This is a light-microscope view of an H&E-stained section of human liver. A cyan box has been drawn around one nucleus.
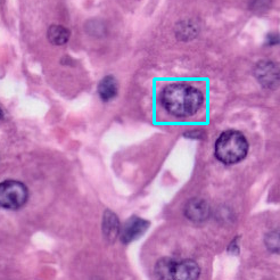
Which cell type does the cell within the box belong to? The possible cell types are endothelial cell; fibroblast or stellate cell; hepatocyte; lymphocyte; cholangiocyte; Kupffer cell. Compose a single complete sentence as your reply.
To be brief about it, the cell within the box is a hepatocyte.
